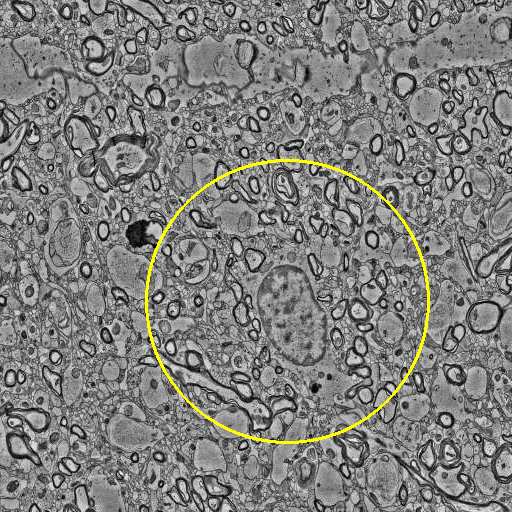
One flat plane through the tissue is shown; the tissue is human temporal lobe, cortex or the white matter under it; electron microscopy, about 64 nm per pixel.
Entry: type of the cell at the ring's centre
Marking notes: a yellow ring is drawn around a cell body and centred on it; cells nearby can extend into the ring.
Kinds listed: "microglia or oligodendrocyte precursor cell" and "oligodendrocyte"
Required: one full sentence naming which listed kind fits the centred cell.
My entry names an oligodendrocyte as the cell whose body the yellow ring centres on.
